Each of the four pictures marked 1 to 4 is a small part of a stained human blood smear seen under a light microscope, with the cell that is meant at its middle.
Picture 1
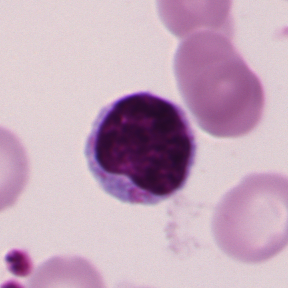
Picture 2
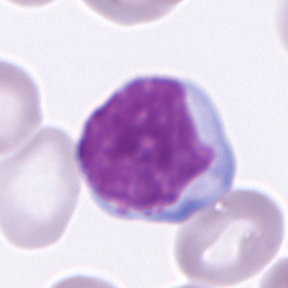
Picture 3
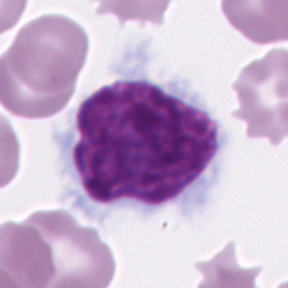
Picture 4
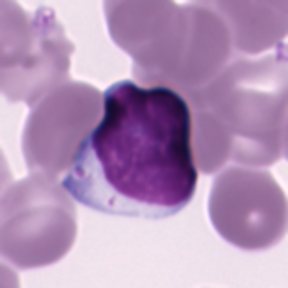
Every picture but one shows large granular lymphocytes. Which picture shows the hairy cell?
3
